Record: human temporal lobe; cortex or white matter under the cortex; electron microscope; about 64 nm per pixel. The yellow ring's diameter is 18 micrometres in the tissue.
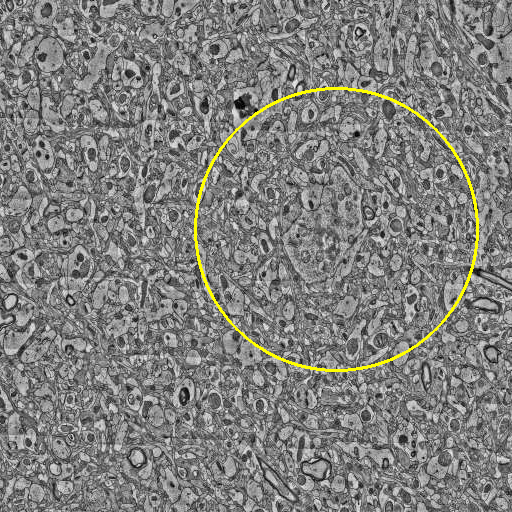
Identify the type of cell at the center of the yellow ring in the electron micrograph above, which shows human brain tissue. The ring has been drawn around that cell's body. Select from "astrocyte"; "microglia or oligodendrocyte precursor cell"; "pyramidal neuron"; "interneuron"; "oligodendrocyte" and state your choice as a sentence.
The yellow ring is centered on the body of an interneuron.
